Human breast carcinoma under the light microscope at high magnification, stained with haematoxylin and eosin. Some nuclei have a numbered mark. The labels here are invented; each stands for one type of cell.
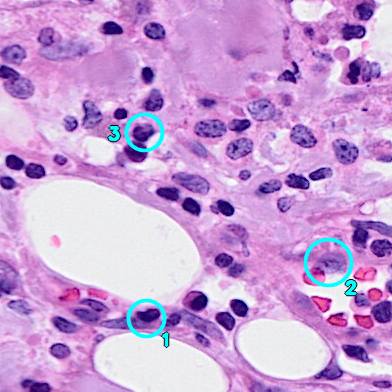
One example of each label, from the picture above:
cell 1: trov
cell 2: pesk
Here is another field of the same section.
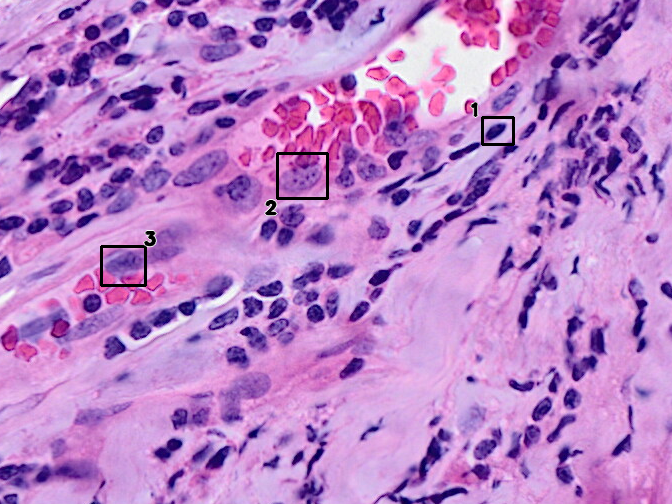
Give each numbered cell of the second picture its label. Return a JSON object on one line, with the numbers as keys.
{"1": "trov", "2": "pesk", "3": "pesk"}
